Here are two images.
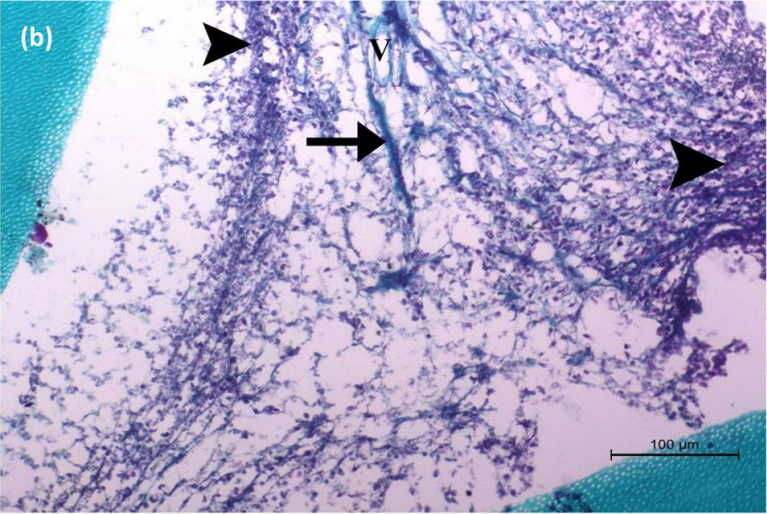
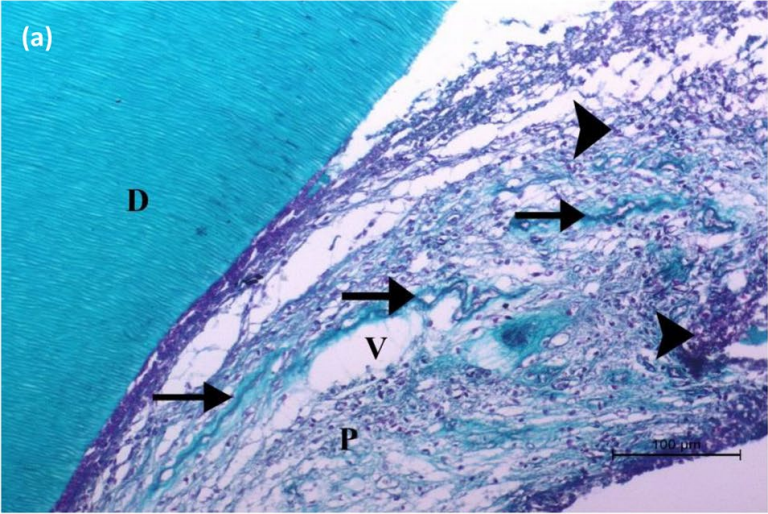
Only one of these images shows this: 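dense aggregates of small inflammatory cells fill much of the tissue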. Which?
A: The first image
